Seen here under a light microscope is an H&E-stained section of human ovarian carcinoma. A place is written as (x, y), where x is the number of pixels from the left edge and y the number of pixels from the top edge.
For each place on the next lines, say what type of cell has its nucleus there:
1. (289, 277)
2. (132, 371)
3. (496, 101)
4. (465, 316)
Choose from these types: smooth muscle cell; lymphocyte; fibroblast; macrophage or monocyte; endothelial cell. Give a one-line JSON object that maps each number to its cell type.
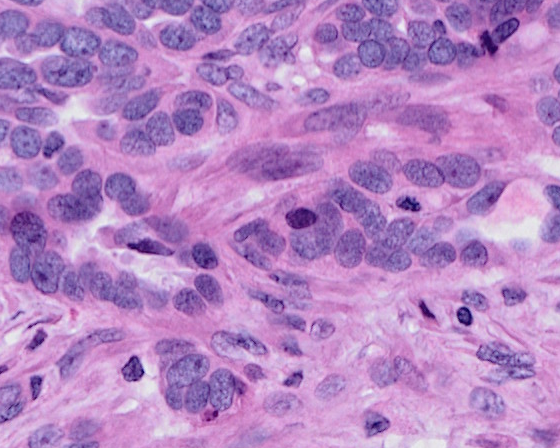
{"1": "fibroblast", "2": "lymphocyte", "3": "fibroblast", "4": "lymphocyte"}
